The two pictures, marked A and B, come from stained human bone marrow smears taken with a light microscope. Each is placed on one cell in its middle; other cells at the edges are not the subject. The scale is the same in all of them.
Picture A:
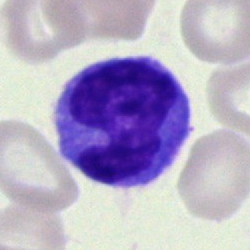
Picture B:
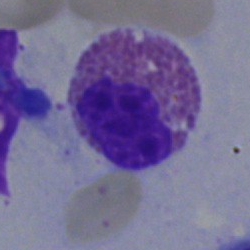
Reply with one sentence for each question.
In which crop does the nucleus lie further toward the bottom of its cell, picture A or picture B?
Seen within its cell, the nucleus in picture B lies further toward the bottom.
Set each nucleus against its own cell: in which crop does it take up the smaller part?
Of the two, the nucleus in picture B leaves more room for cytoplasm.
